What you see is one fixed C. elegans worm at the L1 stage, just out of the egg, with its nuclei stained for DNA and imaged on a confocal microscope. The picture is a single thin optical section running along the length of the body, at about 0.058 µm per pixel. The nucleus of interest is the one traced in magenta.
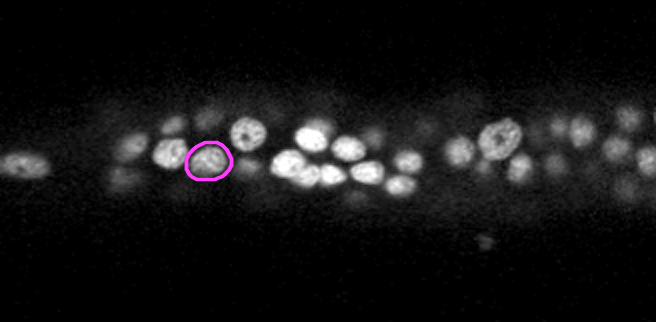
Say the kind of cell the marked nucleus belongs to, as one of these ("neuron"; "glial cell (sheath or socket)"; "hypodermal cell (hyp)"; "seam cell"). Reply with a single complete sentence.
The marked cell is a glial cell (sheath or socket).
